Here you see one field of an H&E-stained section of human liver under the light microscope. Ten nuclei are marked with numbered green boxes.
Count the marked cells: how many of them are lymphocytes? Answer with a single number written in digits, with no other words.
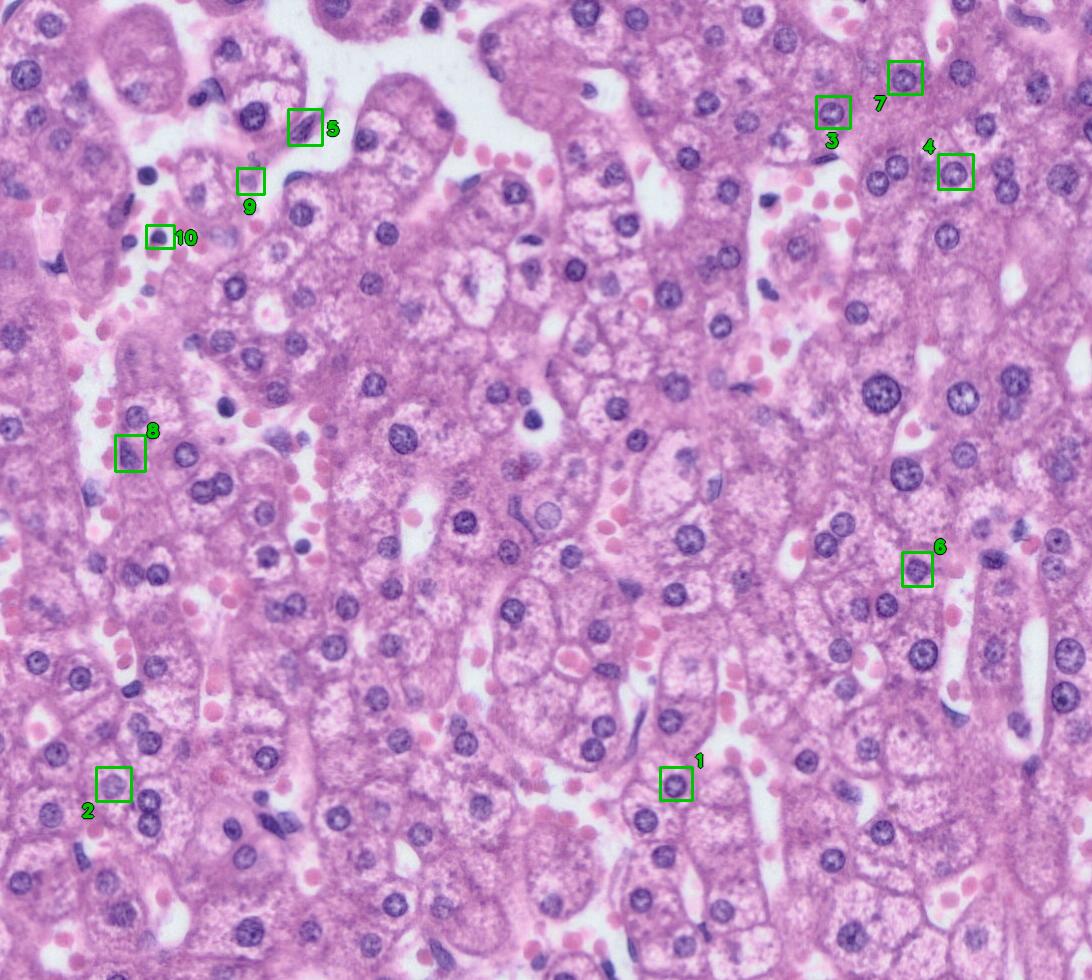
1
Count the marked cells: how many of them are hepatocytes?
6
